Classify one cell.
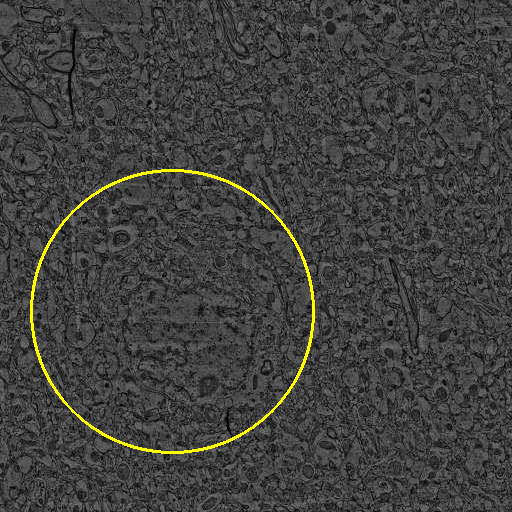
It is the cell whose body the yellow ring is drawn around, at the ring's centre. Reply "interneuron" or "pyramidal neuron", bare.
interneuron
